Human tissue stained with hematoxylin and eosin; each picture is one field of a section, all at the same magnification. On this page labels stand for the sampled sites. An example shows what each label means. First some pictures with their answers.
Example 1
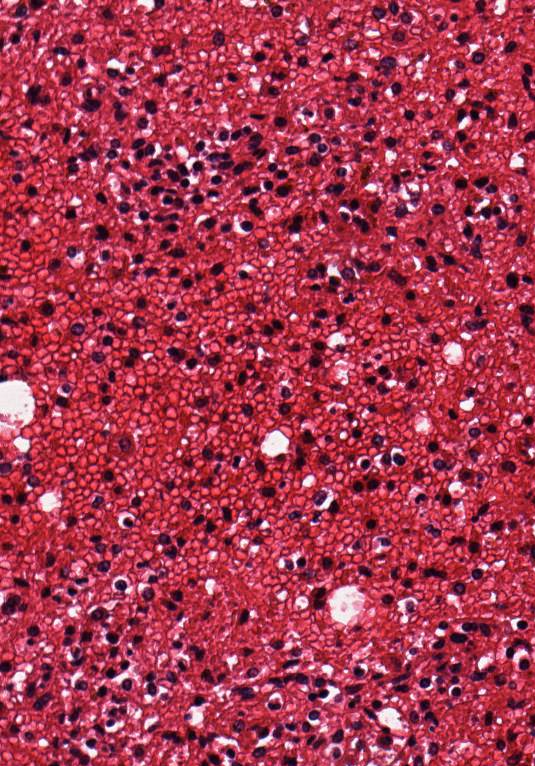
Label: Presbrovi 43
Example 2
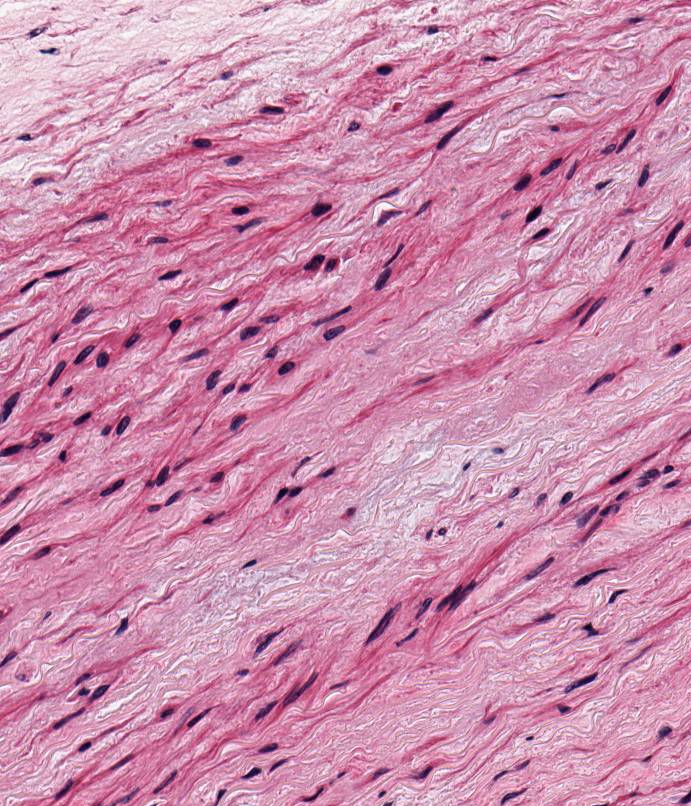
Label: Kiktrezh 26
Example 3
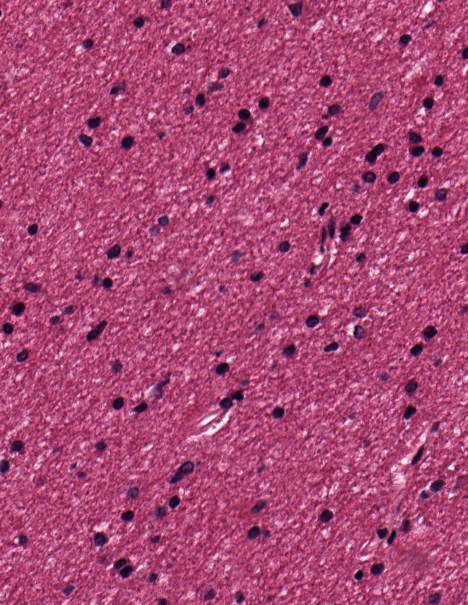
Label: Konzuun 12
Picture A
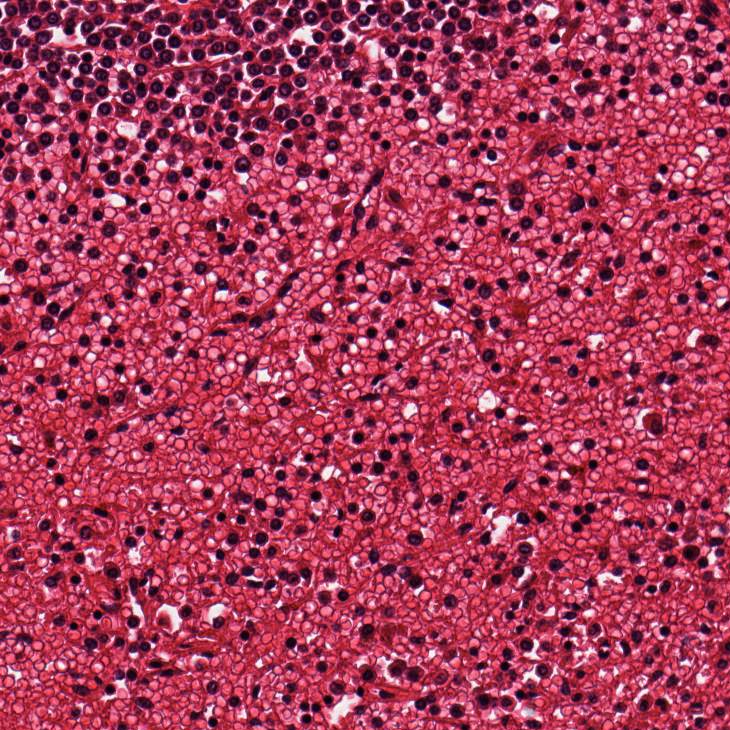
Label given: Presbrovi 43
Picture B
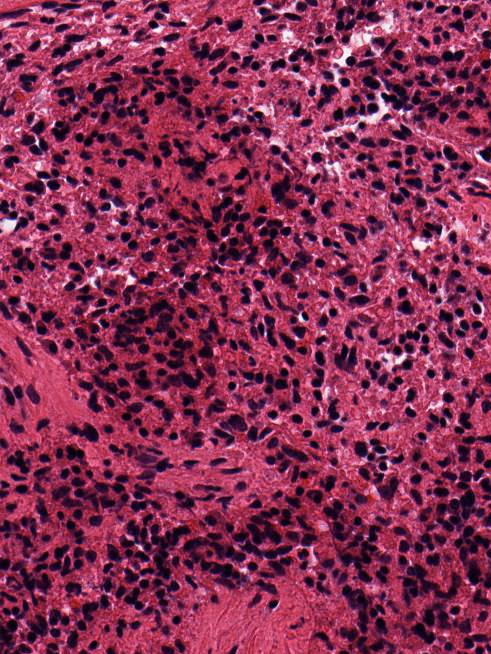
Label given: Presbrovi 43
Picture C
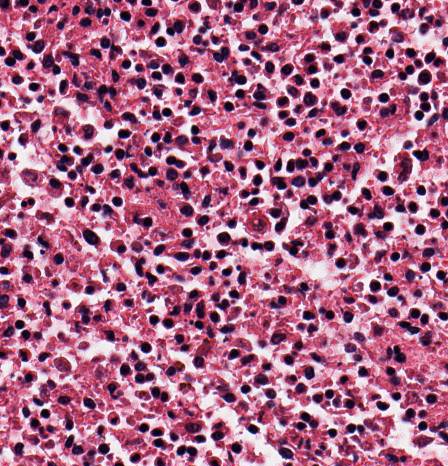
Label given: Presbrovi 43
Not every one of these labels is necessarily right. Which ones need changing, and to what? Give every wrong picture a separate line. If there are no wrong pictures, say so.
Every label is right.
